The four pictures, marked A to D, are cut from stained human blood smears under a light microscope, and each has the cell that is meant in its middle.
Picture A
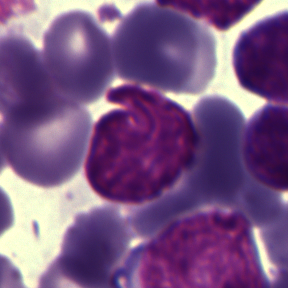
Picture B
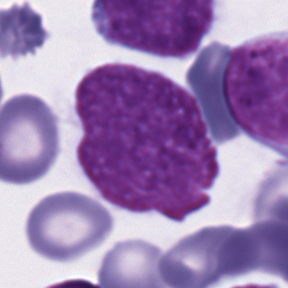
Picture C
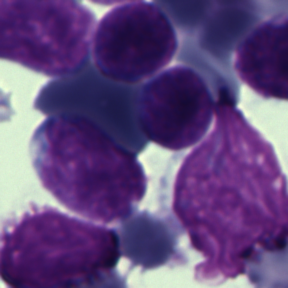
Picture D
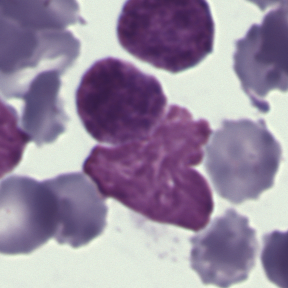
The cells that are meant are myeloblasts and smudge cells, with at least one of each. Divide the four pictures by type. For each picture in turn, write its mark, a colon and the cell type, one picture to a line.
A: myeloblast
B: smudge cell
C: myeloblast
D: smudge cell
